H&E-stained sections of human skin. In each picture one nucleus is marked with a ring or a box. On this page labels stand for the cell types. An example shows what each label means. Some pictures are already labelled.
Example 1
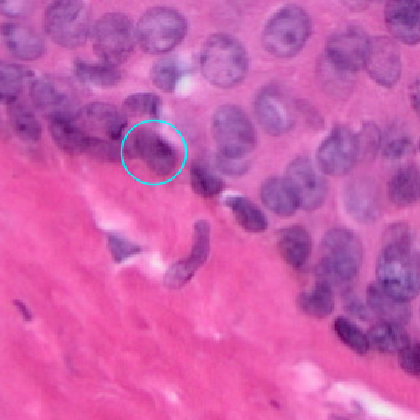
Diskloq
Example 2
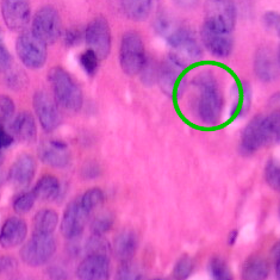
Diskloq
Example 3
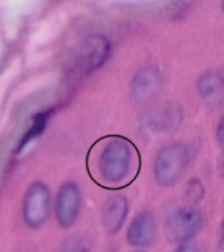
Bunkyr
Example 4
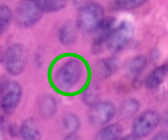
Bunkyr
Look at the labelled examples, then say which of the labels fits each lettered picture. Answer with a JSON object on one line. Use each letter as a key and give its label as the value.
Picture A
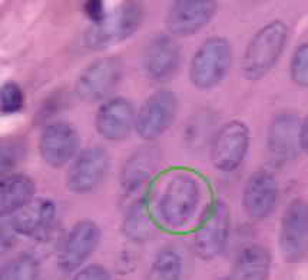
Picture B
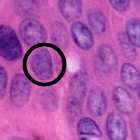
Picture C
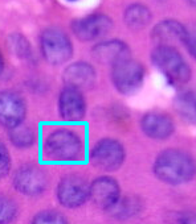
{"A": "Bunkyr", "B": "Diskloq", "C": "Bunkyr"}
